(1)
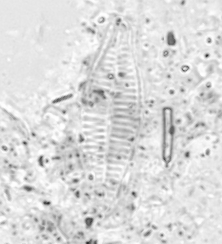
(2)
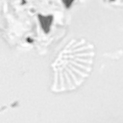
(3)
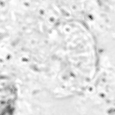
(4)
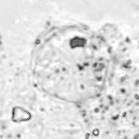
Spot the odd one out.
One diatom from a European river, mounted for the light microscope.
Picture 1 (Planothidium among Stephanodiscus).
